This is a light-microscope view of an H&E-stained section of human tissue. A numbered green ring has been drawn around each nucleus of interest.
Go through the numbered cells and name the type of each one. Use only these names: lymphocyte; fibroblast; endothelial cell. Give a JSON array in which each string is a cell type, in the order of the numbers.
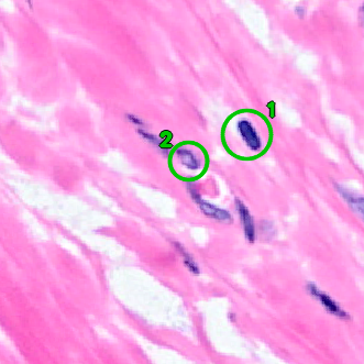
["lymphocyte", "endothelial cell"]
